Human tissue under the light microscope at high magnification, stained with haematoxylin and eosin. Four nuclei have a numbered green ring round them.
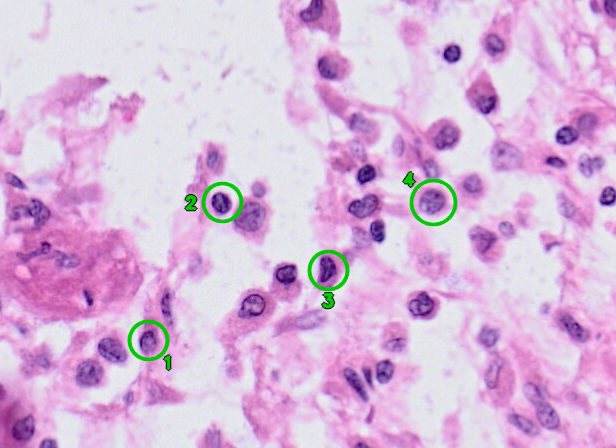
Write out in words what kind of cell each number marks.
Cells 1, 3 and 4 are macrophages or monocytes. Cell 2 is a lymphocyte.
